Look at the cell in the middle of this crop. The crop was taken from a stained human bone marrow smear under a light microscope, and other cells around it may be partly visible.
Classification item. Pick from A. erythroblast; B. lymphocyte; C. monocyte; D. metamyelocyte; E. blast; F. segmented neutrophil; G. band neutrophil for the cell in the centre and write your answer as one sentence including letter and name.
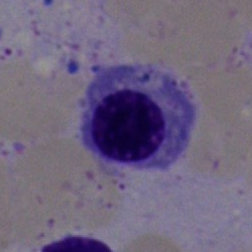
The cell at the centre, correctly named in option A, is an erythroblast.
